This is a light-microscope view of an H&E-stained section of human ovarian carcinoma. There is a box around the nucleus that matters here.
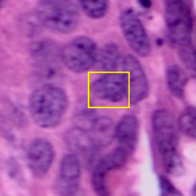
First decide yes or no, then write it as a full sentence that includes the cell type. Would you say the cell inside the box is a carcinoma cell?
Yes, the cell inside the box is rightly regarded as a carcinoma cell.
